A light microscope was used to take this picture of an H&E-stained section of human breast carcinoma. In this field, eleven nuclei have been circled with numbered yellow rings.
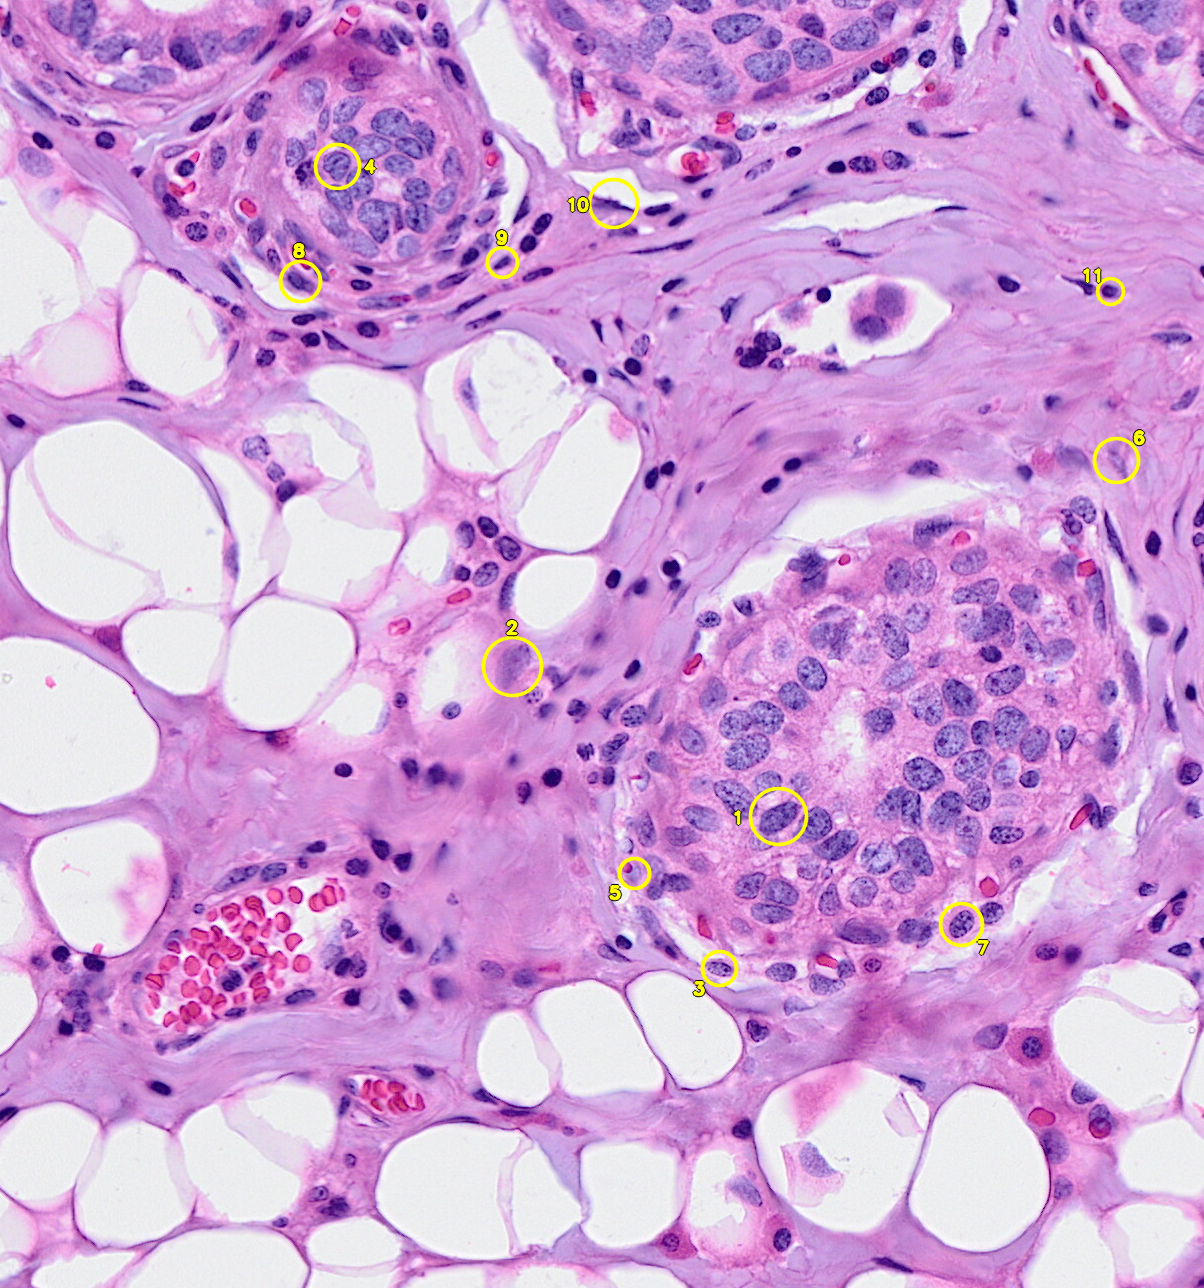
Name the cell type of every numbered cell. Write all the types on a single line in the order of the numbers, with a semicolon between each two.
carcinoma cell; fibroblast; mast cell; carcinoma cell; endothelial cell; fibroblast; mast cell; endothelial cell; lymphocyte; fibroblast; mast cell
